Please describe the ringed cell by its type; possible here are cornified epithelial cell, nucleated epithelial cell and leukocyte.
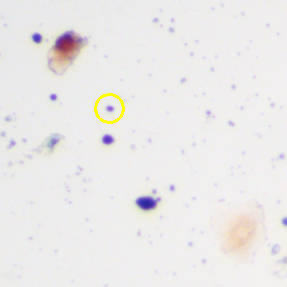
The yellow ring marks a leukocyte.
